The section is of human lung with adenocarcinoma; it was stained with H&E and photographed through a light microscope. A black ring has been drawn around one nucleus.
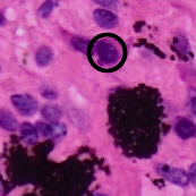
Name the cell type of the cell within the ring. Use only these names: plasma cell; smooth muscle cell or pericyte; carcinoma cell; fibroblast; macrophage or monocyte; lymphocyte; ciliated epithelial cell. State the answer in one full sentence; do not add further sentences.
In this section, the cell within the ring is a plasma cell.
